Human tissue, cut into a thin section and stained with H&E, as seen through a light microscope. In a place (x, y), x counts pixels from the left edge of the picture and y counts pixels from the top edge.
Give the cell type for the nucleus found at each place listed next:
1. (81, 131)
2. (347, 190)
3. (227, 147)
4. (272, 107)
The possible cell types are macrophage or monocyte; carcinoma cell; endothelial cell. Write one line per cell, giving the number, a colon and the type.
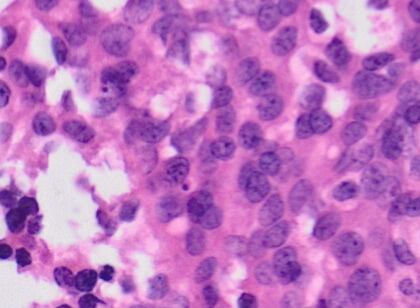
1: carcinoma cell
2: macrophage or monocyte
3: carcinoma cell
4: carcinoma cell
